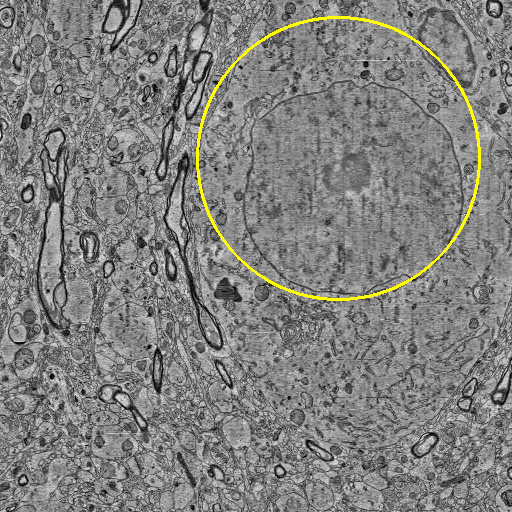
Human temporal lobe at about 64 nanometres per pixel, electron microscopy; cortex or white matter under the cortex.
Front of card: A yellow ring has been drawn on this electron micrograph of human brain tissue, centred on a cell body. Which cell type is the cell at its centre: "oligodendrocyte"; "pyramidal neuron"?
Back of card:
pyramidal neuron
